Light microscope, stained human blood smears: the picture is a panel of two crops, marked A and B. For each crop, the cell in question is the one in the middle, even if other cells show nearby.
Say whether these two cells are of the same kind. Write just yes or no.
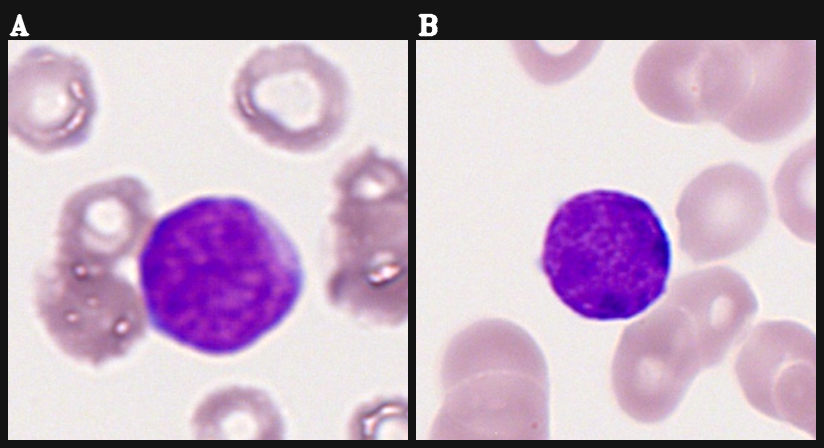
no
